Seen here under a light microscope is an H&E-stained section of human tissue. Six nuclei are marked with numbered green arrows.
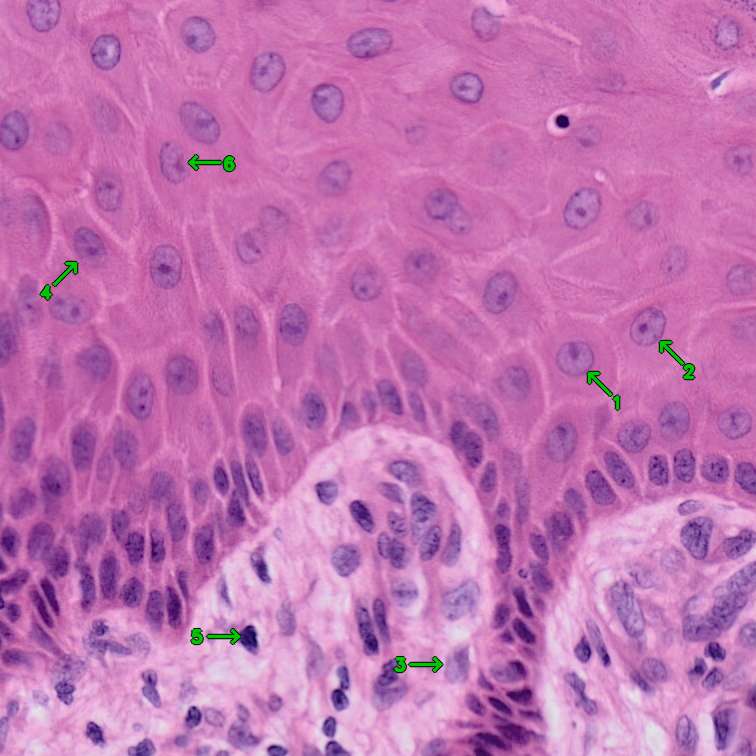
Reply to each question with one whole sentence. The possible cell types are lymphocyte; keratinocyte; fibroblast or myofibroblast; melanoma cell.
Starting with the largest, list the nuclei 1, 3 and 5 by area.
Largest first, the order by area is 1, 3, 5.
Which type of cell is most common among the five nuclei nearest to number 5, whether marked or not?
Fibroblasts or myofibroblasts account for more than half of the five nuclei nearest to number 5.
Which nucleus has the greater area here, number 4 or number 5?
The larger nucleus is 4, at roughly 4 times the area of 5.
